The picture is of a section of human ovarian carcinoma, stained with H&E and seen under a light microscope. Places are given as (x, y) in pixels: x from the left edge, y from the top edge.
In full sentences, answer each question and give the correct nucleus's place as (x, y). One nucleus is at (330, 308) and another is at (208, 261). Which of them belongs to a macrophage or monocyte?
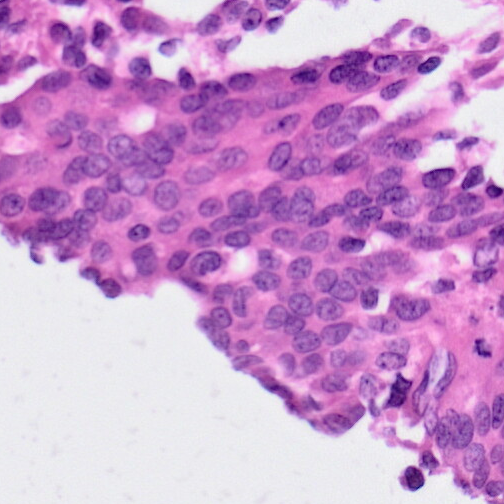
The nucleus at (208, 261) is the one that belongs to a macrophage or monocyte.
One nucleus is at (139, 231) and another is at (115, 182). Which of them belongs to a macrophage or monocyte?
Identified as belonging to a macrophage or monocyte is the nucleus at (139, 231).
